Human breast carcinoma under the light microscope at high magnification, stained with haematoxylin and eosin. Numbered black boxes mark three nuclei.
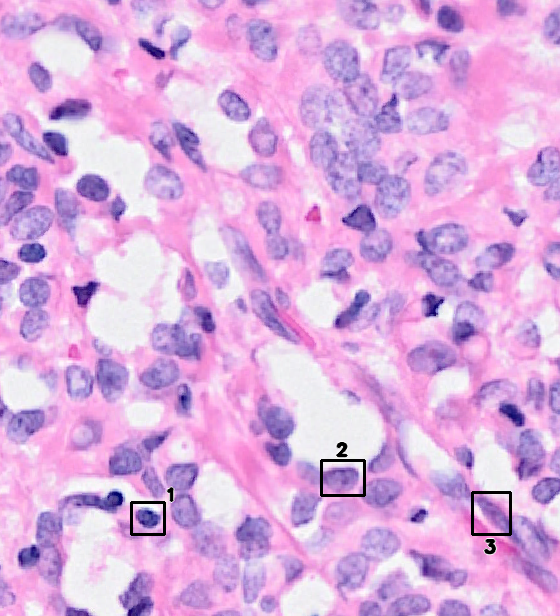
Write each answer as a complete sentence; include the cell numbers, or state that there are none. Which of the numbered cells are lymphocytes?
Cell 1 is a lymphocyte, and this holds for no other numbered cell.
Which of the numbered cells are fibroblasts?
None of the numbered cells is one of the fibroblasts.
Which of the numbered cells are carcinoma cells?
Among the cells marked with numbers, the only one that is a carcinoma cell is number 2.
